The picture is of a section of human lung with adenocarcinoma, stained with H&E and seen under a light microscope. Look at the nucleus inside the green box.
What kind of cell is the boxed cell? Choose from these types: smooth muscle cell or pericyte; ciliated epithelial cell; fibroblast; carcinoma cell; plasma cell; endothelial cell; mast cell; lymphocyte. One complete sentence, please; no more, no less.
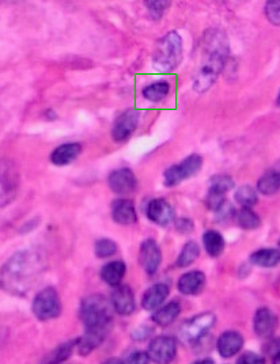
Assigned to a cell type, the boxed cell is a lymphocyte.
